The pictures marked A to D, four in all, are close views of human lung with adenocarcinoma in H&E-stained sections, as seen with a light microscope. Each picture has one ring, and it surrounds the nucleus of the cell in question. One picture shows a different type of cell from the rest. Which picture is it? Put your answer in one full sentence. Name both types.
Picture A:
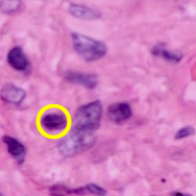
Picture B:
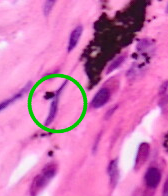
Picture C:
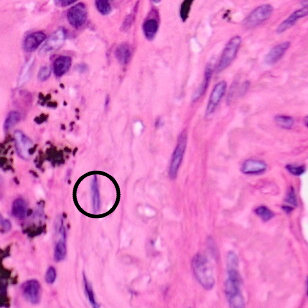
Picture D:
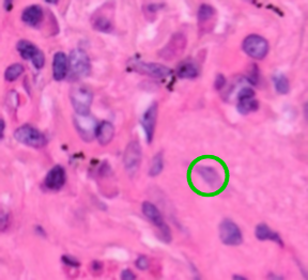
Picture A is the odd one out: it shows a plasma cell, while the others show fibroblasts.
